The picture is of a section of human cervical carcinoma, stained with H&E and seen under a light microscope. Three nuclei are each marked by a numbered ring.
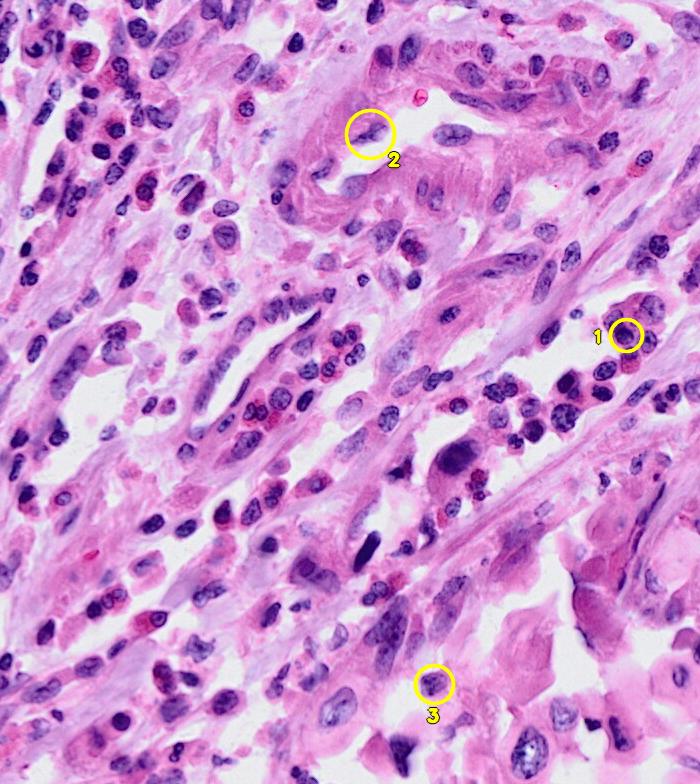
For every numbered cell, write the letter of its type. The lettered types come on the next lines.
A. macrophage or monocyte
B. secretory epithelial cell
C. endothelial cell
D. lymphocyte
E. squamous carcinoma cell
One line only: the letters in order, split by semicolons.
D; C; A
